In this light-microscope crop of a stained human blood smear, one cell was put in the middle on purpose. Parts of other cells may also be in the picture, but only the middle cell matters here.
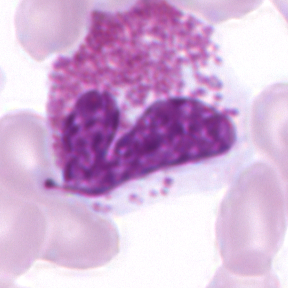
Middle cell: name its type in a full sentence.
In the middle of this smear crop, the cell is an eosinophil.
